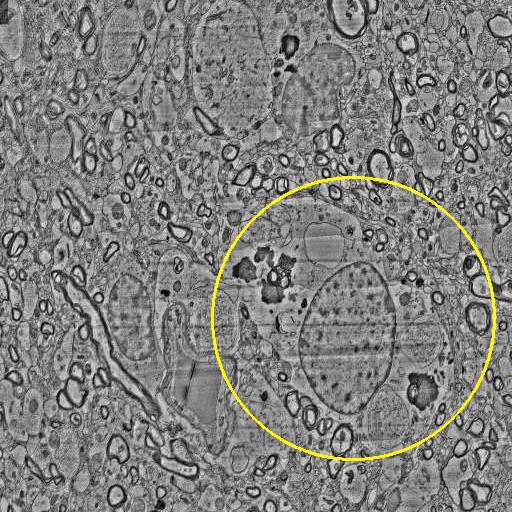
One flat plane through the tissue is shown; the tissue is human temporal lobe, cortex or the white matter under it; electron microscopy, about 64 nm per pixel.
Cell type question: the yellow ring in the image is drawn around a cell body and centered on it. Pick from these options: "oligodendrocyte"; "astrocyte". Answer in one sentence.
The ringed cell at the center is an astrocyte.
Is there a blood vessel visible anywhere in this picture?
No, none appears.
